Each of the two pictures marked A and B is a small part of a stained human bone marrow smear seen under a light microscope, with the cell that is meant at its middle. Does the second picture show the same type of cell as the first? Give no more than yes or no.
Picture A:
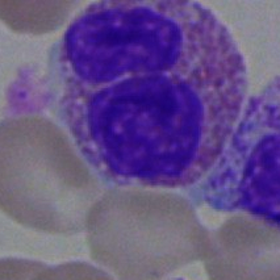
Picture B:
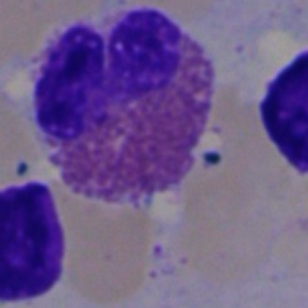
yes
